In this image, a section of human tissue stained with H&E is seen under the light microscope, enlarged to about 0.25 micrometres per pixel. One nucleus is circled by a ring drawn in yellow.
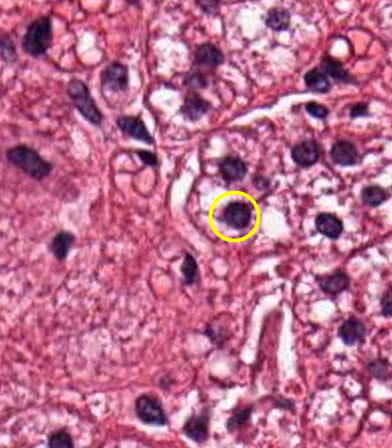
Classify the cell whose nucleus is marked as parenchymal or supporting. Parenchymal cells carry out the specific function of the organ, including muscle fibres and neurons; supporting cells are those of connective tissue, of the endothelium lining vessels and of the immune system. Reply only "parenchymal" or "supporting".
parenchymal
